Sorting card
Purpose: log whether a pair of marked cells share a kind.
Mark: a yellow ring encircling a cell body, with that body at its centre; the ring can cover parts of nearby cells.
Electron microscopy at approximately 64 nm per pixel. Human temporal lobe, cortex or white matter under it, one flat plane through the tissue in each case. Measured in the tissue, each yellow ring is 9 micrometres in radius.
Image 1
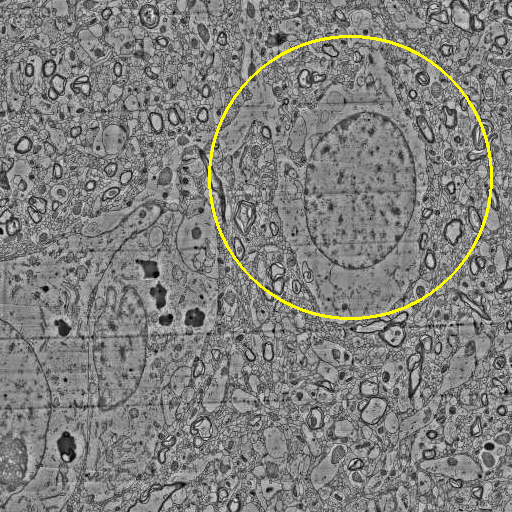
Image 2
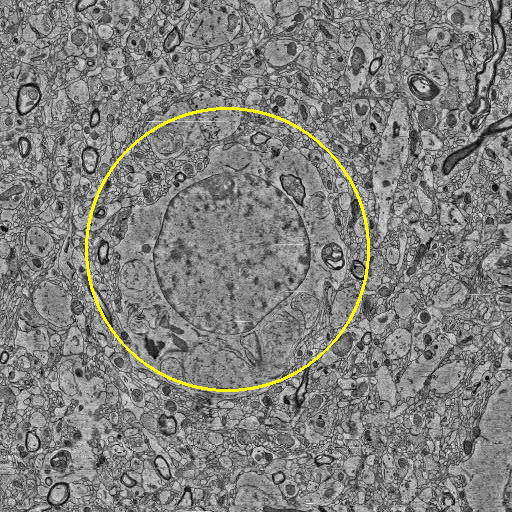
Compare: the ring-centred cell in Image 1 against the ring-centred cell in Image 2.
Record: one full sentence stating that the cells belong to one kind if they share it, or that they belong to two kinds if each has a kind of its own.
Across Images 1 and 2, the two ring-centred cells belong to one kind.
